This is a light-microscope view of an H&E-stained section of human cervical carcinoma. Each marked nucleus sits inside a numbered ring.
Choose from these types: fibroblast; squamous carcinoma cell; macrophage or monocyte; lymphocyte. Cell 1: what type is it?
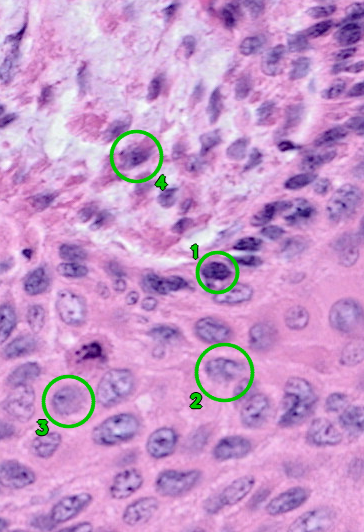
squamous carcinoma cell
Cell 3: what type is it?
squamous carcinoma cell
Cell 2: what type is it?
squamous carcinoma cell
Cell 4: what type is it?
fibroblast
